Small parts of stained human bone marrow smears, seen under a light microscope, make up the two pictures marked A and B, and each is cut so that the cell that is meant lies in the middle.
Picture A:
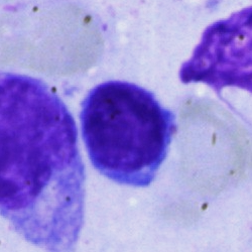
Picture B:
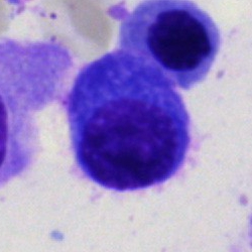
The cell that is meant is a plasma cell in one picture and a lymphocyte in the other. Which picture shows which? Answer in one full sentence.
Picture B shows a plasma cell, while picture A shows a lymphocyte.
